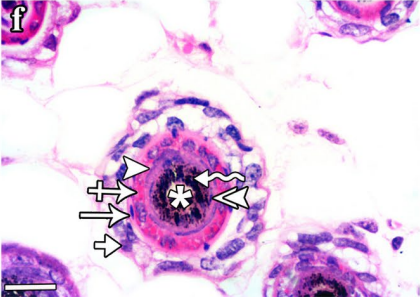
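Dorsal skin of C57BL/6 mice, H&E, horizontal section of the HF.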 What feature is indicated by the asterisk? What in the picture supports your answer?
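The asterisk sits at the very centre of the hair. It is surrounded by the pigmented ring of the hair.
Medulla.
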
